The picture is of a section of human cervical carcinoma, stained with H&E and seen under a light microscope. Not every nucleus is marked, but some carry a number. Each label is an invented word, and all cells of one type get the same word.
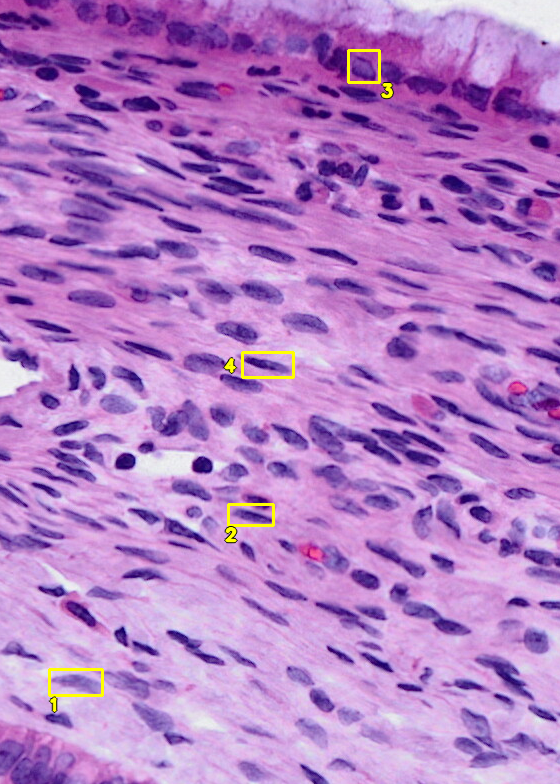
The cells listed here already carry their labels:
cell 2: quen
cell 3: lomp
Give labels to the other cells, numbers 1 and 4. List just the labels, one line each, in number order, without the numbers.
quen
quen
